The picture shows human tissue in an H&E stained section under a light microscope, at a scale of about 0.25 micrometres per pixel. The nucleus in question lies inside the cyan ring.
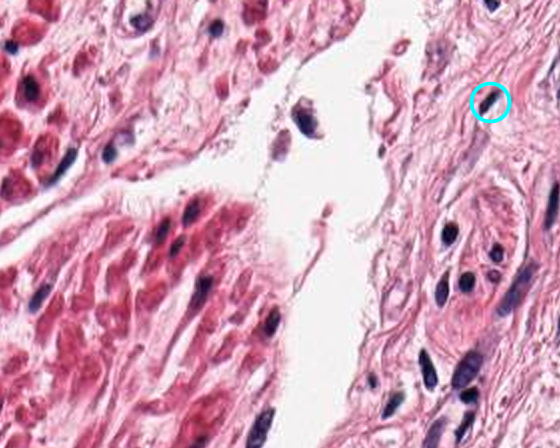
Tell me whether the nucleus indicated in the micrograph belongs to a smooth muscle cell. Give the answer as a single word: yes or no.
no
